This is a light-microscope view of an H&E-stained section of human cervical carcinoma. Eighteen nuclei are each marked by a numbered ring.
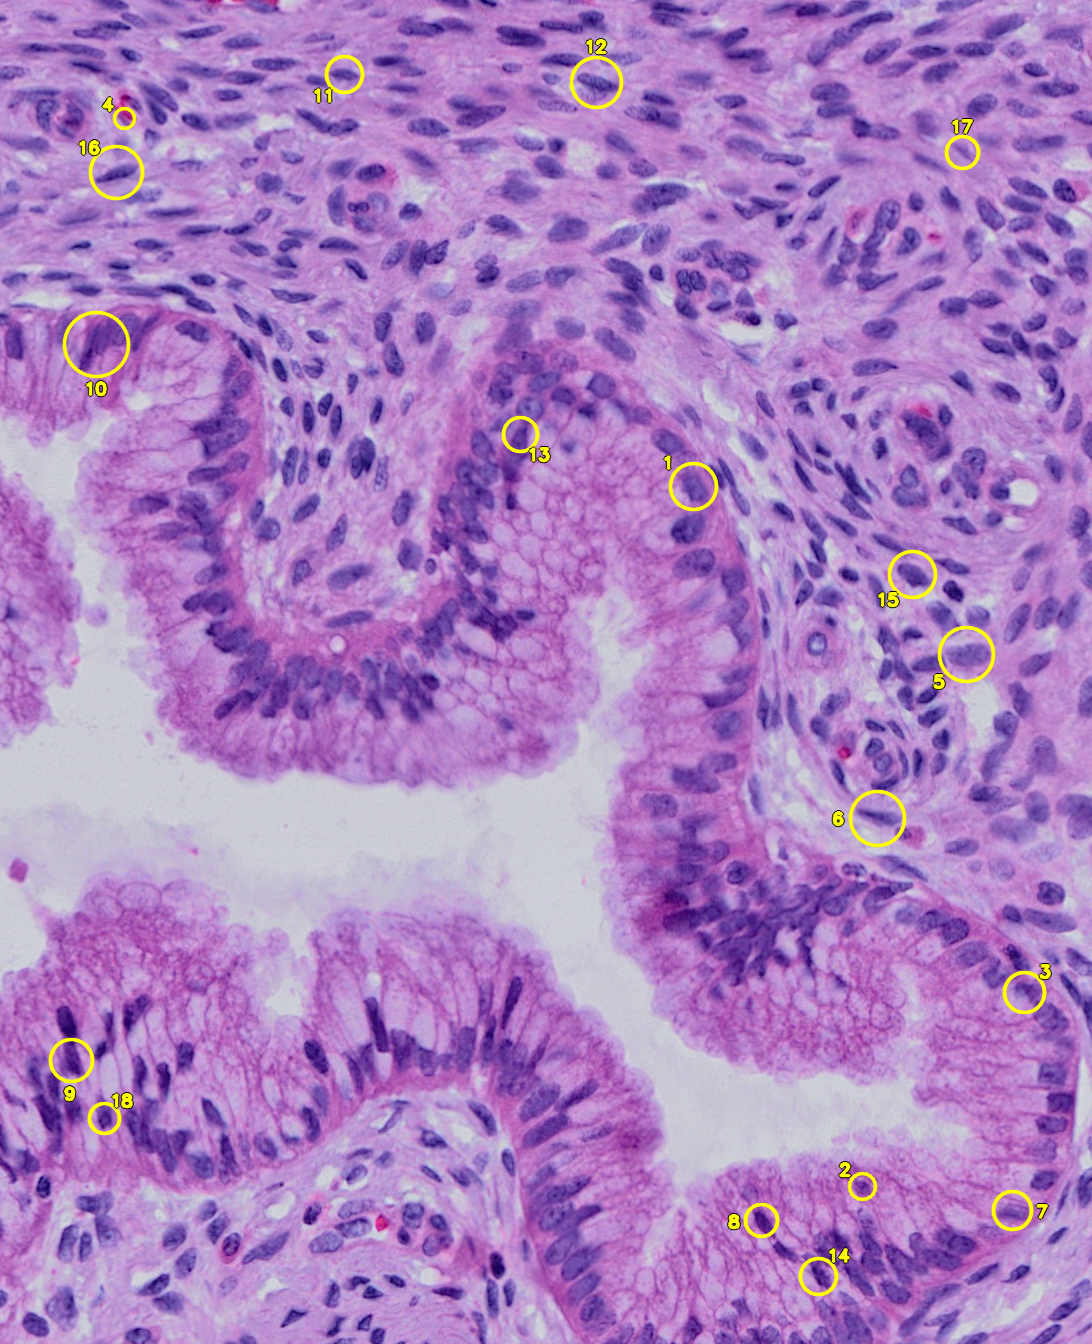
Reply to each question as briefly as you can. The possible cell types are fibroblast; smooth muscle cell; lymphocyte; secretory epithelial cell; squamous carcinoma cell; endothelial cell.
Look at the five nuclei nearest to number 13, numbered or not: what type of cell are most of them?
secretory epithelial cell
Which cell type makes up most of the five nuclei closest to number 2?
secretory epithelial cell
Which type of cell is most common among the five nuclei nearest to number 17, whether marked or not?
fibroblast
